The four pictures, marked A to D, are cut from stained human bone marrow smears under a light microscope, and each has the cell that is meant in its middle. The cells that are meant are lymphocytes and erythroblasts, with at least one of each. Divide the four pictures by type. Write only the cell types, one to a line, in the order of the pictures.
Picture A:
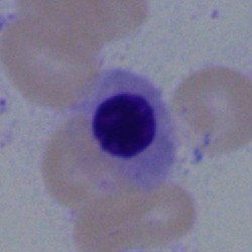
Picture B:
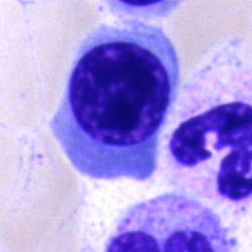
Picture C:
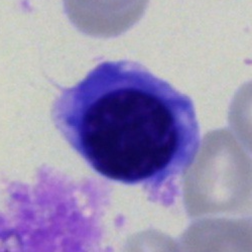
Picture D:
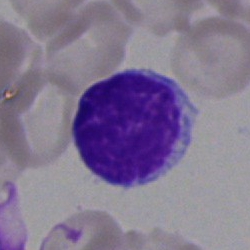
erythroblast
erythroblast
erythroblast
lymphocyte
